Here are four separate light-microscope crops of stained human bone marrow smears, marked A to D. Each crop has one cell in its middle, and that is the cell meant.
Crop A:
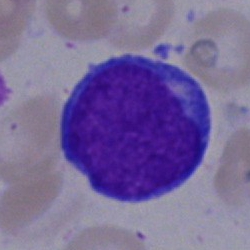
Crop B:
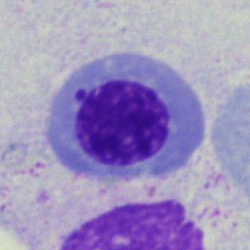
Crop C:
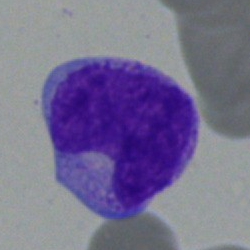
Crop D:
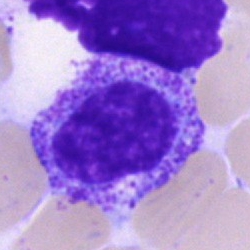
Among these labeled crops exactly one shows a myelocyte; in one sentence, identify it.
On review of the set, crop D is the one showing a myelocyte.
